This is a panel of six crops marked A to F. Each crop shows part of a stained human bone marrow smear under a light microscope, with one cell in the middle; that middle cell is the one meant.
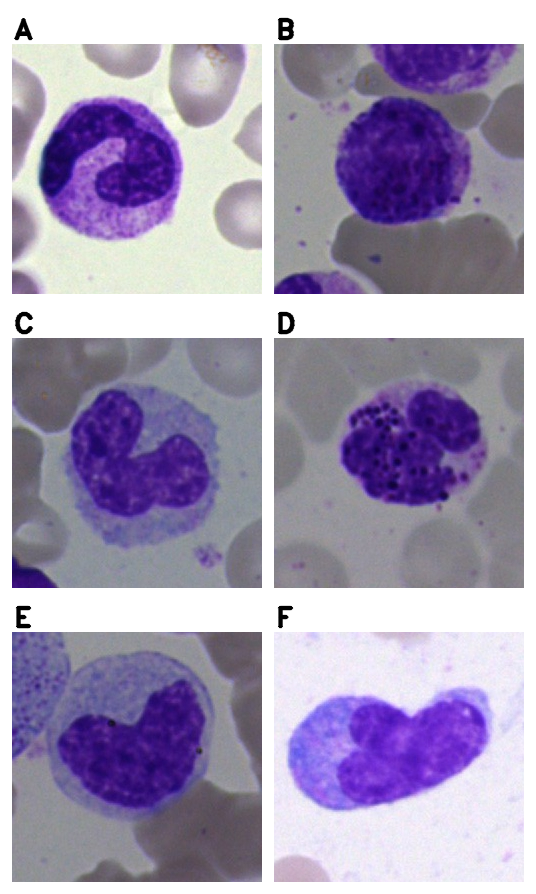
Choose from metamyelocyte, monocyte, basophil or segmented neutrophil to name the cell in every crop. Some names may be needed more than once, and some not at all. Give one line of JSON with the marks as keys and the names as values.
{"A": "segmented neutrophil", "B": "basophil", "C": "monocyte", "D": "basophil", "E": "metamyelocyte", "F": "monocyte"}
